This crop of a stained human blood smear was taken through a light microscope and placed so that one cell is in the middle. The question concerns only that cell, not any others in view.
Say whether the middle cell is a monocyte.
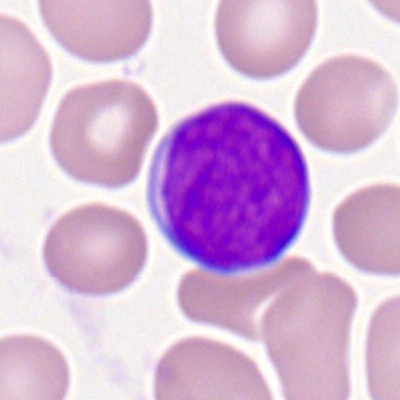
no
